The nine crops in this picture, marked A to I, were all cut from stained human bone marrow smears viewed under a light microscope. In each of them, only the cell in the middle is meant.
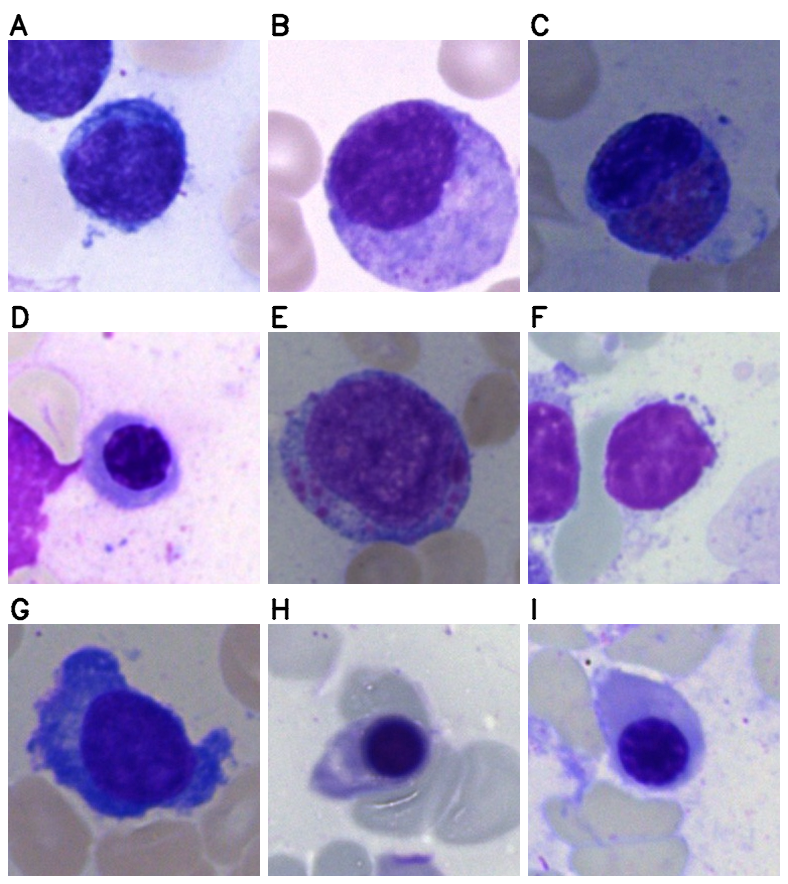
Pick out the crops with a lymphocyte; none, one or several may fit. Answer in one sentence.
The central cells are lymphocytes in crops A and F.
